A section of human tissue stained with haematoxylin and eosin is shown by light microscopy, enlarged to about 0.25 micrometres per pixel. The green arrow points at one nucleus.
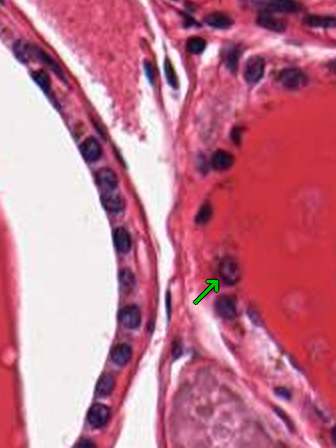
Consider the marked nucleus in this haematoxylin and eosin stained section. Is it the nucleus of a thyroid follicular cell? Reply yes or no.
yes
